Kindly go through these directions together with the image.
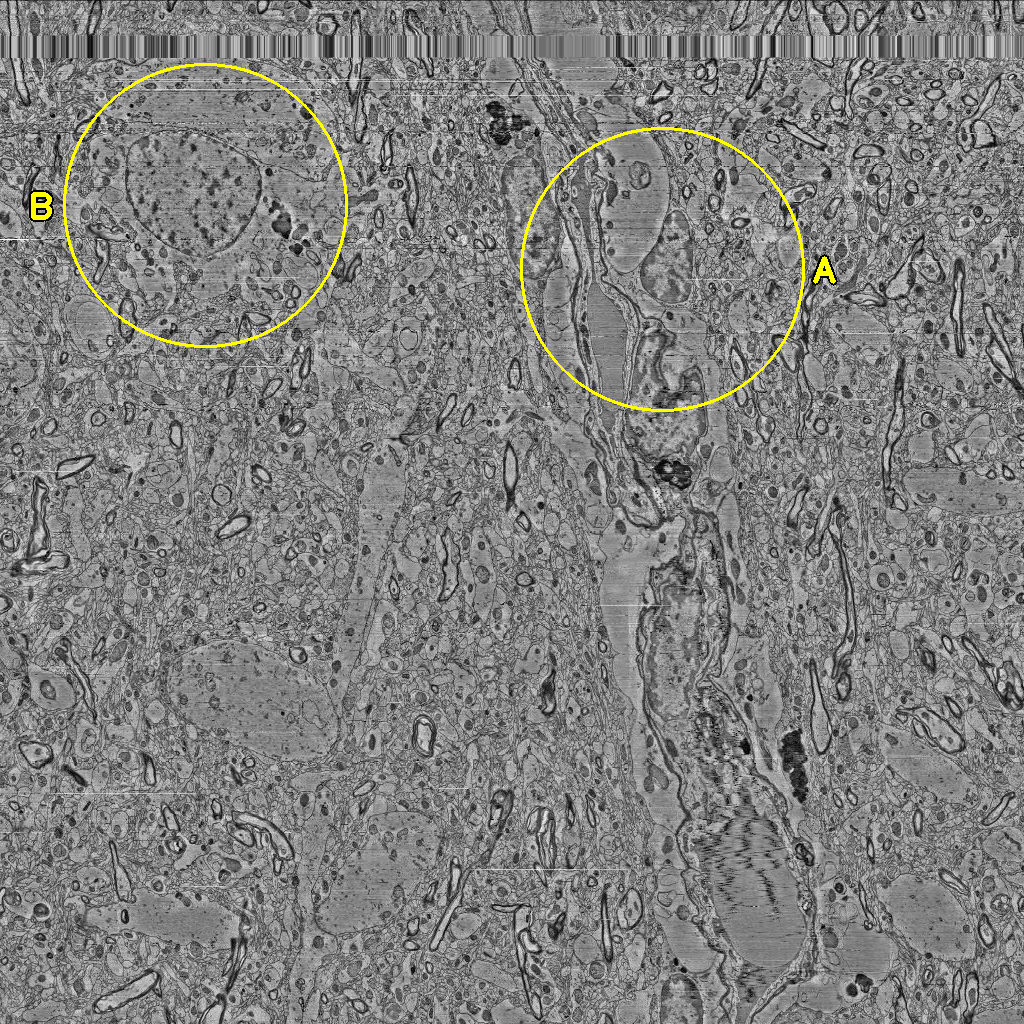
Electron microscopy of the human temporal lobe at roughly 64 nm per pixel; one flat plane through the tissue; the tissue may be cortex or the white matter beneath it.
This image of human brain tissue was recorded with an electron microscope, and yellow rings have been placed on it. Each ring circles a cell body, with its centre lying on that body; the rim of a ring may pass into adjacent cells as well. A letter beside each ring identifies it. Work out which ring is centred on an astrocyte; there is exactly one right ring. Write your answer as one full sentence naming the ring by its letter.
Ring B is the one whose centre lies on a cell of that kind.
